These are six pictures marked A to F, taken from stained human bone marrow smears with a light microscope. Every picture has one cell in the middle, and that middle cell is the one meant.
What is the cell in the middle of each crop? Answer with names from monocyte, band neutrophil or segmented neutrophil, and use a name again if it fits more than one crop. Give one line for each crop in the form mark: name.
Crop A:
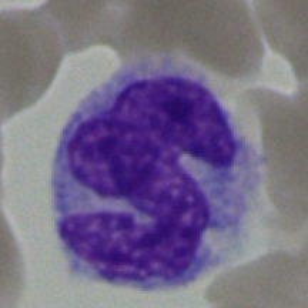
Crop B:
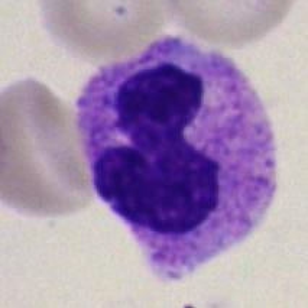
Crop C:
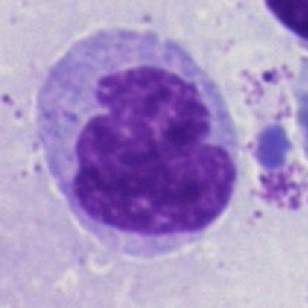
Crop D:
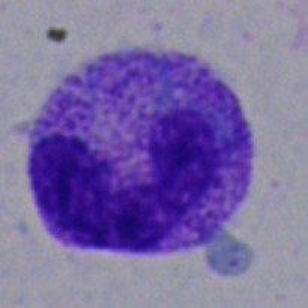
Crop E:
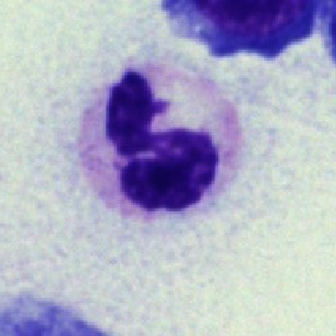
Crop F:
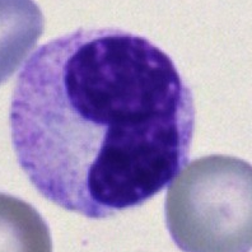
A: monocyte
B: segmented neutrophil
C: monocyte
D: band neutrophil
E: segmented neutrophil
F: band neutrophil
